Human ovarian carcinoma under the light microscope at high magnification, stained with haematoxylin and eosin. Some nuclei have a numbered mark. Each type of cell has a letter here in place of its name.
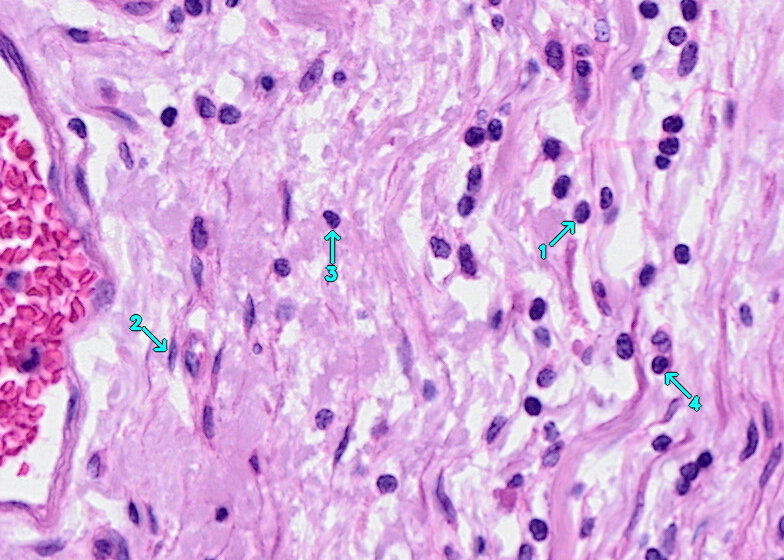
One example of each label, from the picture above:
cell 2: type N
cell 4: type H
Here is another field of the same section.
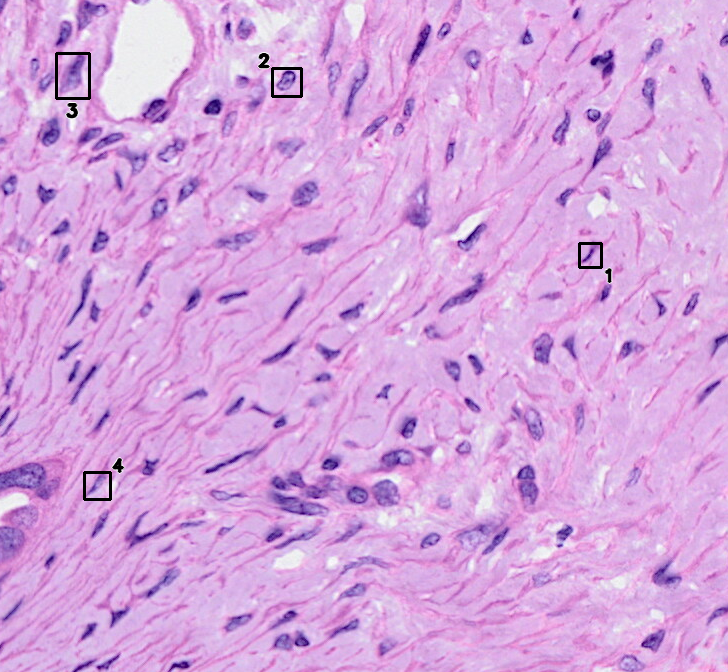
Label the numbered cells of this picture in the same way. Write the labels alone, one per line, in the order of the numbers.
type N
type H
type N
type N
